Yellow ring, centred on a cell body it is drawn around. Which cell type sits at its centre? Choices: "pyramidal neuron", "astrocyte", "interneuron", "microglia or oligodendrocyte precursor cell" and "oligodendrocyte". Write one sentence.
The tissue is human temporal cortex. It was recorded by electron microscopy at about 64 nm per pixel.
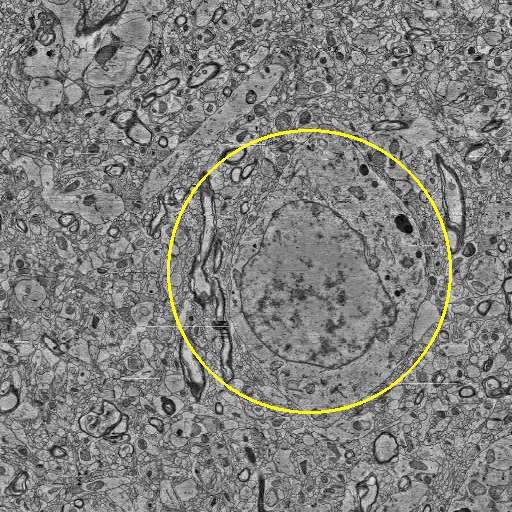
At the centre of the ring sits a pyramidal neuron.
